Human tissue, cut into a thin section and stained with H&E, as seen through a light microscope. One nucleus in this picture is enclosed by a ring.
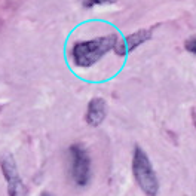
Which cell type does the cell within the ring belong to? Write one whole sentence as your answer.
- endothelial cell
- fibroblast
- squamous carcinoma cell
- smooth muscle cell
Right, so the cell within the ring is a fibroblast, to answer that.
